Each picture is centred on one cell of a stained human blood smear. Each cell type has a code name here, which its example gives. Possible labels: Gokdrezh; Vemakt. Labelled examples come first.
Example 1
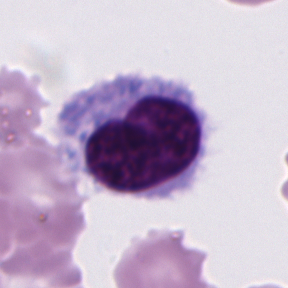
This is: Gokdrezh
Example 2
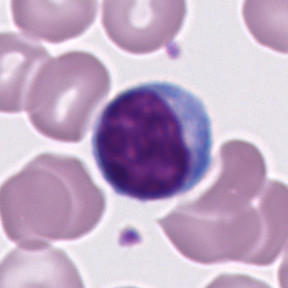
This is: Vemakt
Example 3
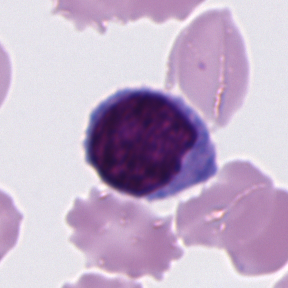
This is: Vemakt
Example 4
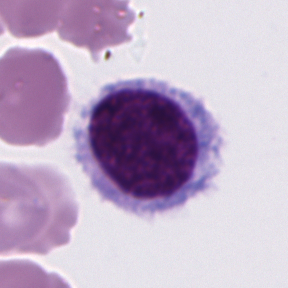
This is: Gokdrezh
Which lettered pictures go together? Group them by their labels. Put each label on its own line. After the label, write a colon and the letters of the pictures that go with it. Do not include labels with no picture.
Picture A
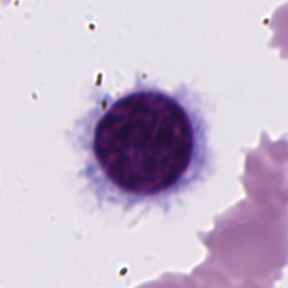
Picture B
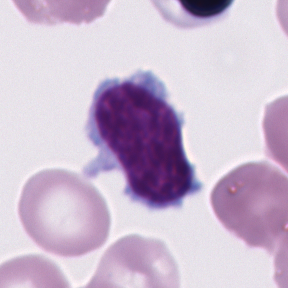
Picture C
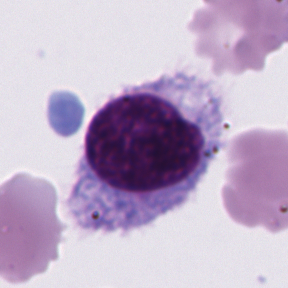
Gokdrezh: A, C
Vemakt: B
